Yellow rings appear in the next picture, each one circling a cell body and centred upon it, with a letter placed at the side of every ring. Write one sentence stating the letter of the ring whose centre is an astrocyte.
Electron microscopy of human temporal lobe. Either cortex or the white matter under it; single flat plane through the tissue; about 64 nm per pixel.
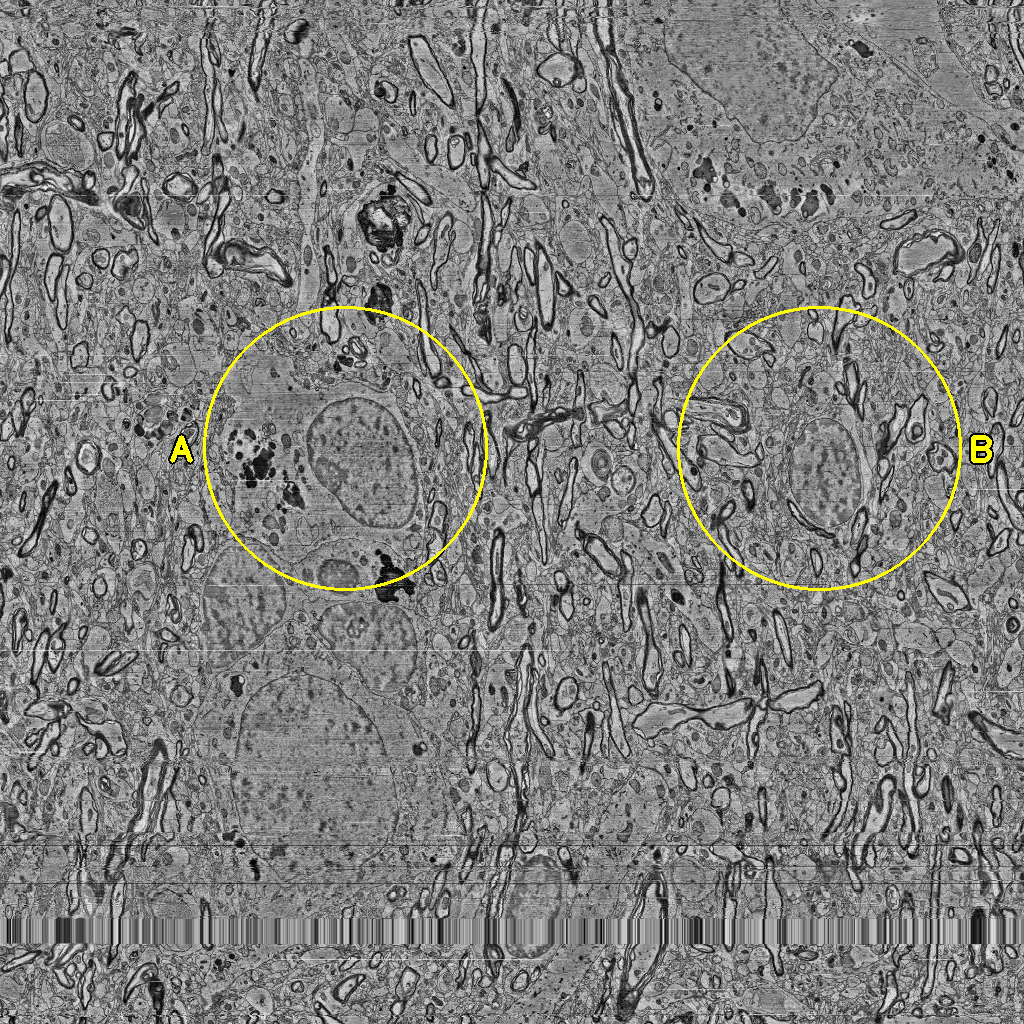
In the picture, the cell asked for lies at the centre of ring A.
